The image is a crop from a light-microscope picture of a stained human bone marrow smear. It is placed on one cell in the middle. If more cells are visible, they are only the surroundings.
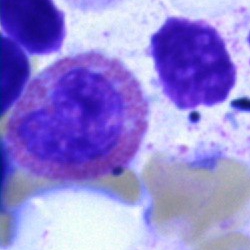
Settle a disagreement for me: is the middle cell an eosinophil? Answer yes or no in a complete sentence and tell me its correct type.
Yes, the central cell here is an eosinophil.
